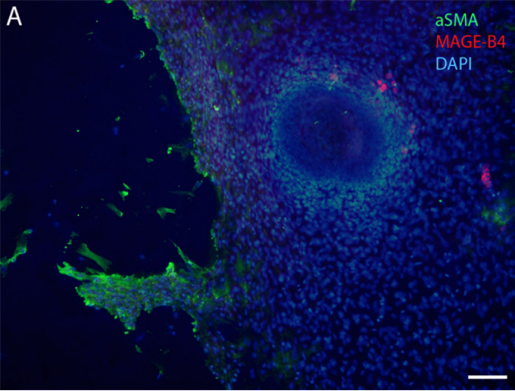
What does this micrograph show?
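The blue nuclei form a dense sheet covering most of the field, and in its middle sits a round, compact aggregate ringed by a paler halo where nuclei are packed even more tightly. Along the left edge of the sheet lie green, flattened, spread cells, and some green strands reach out into the empty area beyond. A few red cells are scattered within the sheet, near the aggregate and at the right edge.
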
